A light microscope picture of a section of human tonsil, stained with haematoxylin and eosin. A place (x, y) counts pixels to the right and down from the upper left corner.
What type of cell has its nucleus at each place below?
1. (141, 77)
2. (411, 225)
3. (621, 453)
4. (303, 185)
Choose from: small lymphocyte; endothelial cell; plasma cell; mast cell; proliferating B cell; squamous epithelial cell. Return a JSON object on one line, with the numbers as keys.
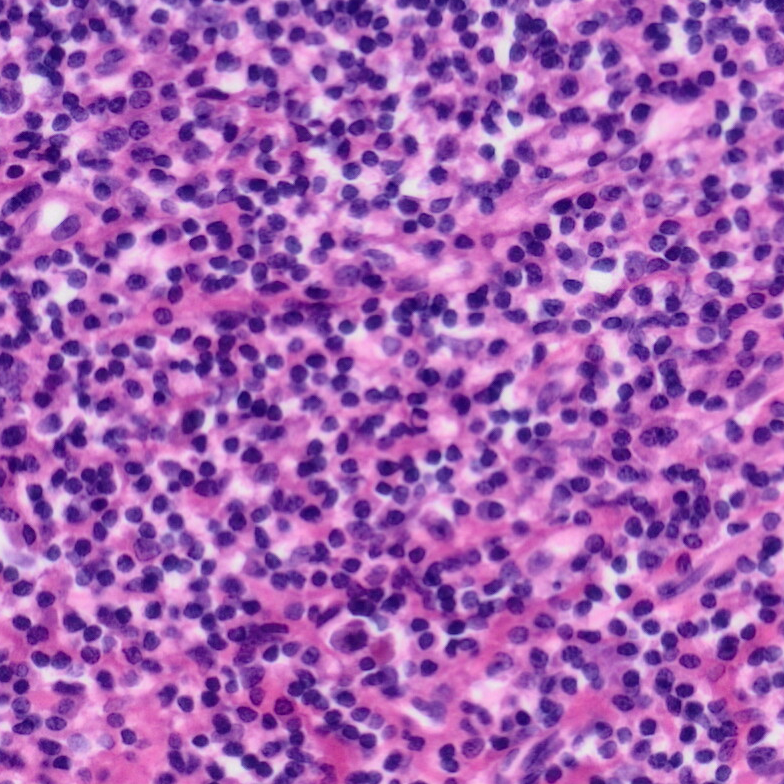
{"1": "plasma cell", "2": "small lymphocyte", "3": "plasma cell", "4": "small lymphocyte"}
